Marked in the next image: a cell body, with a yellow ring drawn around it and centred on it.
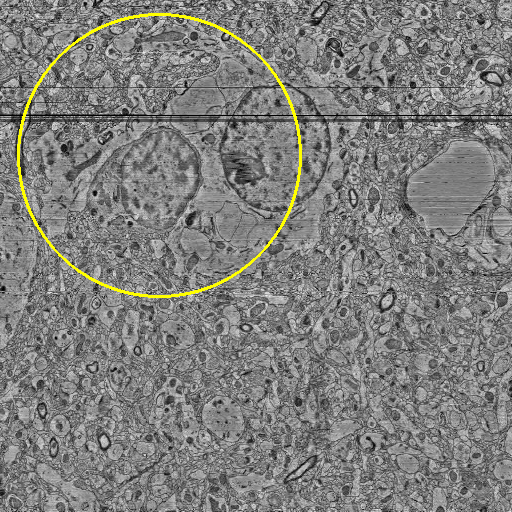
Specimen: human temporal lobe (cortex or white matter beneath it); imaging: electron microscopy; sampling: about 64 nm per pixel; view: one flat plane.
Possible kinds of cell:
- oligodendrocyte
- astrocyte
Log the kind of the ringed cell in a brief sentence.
The ringed cell body is that of an oligodendrocyte.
